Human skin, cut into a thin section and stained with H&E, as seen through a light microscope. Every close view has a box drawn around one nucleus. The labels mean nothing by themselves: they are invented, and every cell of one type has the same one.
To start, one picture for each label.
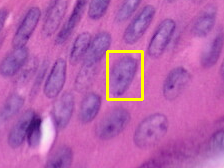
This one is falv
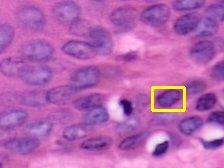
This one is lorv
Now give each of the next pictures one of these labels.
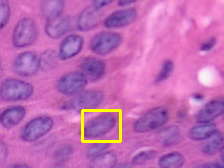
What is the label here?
lorv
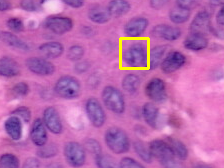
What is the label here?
lorv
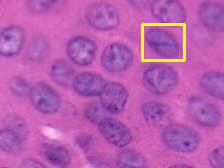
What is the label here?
falv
